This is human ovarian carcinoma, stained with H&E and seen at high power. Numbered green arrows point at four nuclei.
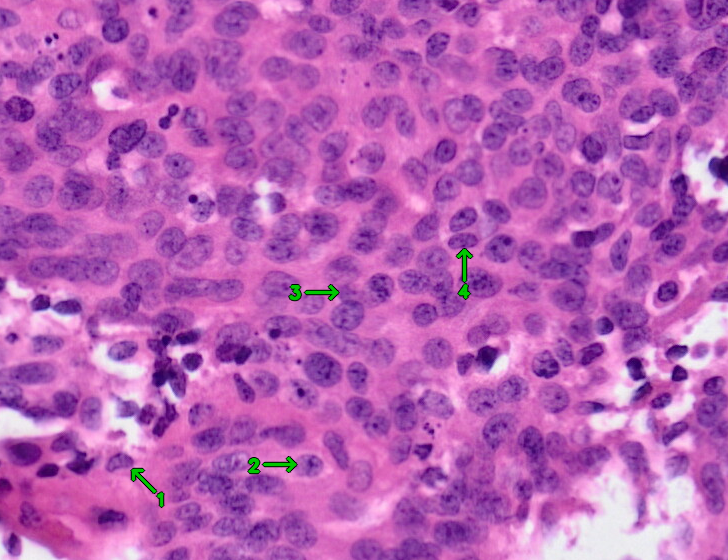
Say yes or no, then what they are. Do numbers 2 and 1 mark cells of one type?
Yes, both are macrophages or monocytes.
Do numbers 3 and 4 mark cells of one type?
No, cell 3 is a carcinoma cell and cell 4 is a macrophage or monocyte.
